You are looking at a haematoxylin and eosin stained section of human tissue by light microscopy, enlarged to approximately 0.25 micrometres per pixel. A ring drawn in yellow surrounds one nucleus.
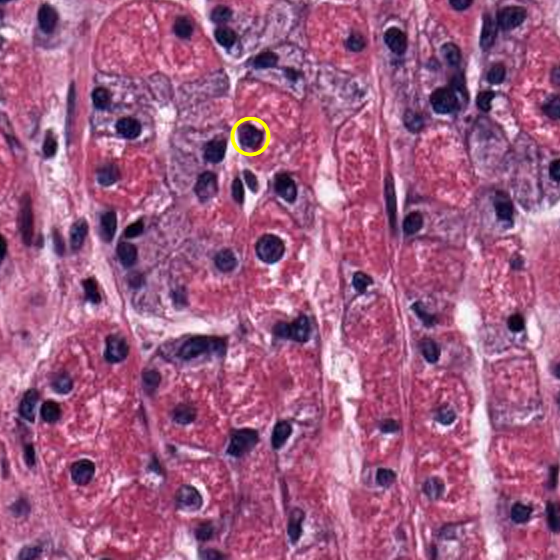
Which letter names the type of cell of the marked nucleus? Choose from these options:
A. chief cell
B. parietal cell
B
